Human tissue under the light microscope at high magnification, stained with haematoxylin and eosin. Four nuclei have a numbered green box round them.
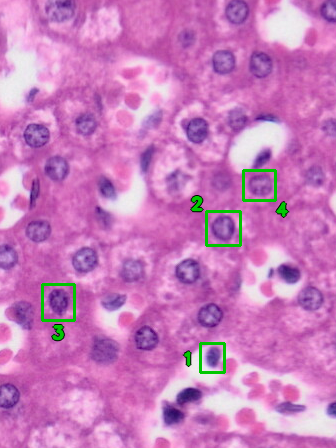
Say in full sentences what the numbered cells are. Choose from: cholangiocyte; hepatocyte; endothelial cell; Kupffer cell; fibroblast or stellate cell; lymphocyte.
Cell 1 is a lymphocyte. Cells 2, 3 and 4 are hepatocytes.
